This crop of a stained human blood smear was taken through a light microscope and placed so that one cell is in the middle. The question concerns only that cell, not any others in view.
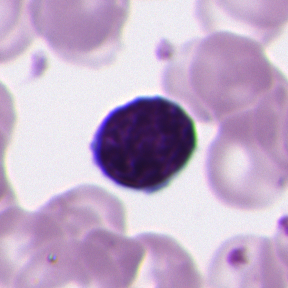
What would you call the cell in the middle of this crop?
typical lymphocyte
